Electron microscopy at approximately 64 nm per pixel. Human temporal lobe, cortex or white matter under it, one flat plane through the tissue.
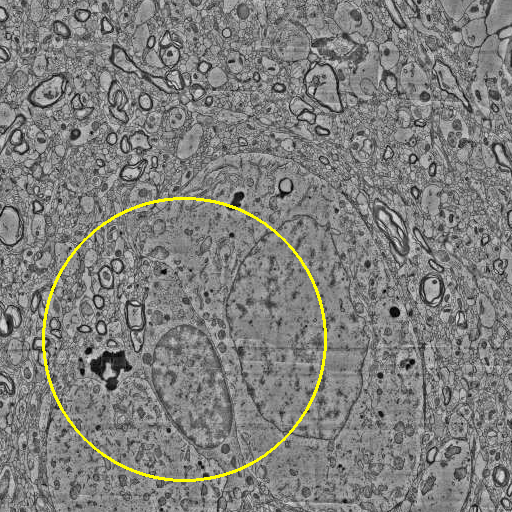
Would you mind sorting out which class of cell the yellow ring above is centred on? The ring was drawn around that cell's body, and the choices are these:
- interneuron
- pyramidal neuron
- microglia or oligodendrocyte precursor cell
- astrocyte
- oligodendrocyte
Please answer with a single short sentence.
This is the cell body of an oligodendrocyte.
